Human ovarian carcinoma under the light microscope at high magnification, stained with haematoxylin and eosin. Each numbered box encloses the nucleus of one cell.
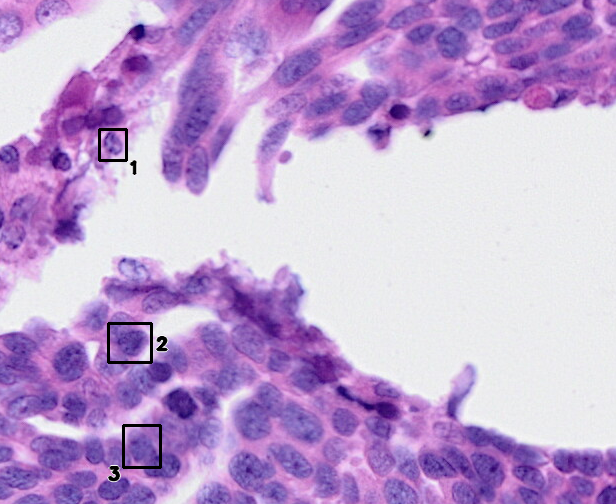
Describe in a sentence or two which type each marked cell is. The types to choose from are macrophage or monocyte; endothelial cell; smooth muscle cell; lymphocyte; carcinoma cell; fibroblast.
Cell 1 is a macrophage or monocyte. Cells 2 and 3 are carcinoma cells.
